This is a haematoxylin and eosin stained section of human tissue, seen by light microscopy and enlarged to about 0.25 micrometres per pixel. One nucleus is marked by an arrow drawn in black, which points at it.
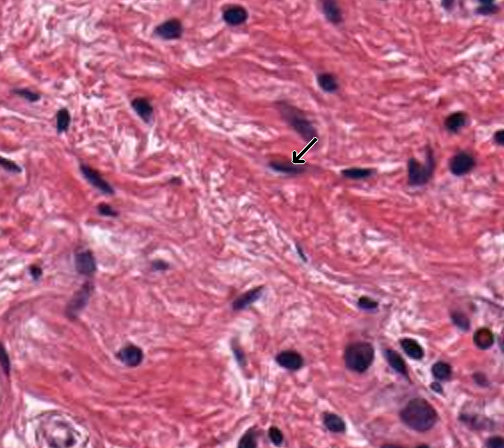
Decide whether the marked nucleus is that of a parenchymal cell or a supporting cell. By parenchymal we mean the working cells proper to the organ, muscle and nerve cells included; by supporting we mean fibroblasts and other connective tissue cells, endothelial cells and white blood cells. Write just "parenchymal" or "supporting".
supporting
